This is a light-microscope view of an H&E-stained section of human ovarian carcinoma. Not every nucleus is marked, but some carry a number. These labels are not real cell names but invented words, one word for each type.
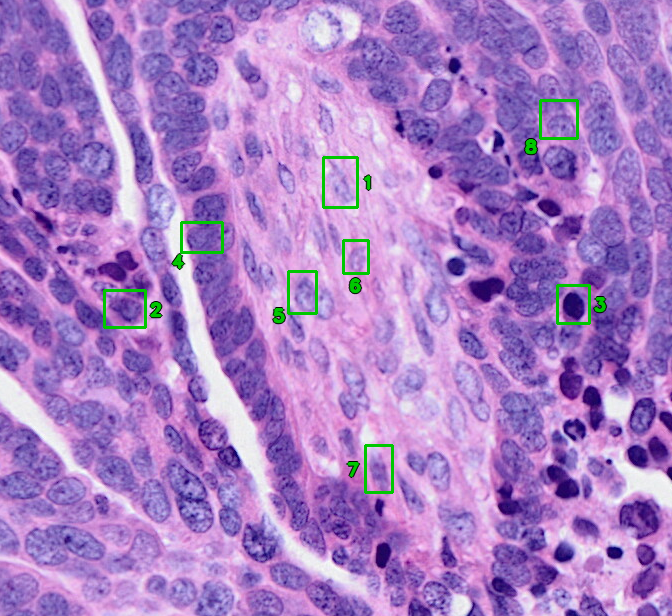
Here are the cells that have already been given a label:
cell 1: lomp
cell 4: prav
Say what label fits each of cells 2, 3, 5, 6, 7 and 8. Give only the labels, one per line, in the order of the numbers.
prav
prav
lomp
lomp
lomp
prav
